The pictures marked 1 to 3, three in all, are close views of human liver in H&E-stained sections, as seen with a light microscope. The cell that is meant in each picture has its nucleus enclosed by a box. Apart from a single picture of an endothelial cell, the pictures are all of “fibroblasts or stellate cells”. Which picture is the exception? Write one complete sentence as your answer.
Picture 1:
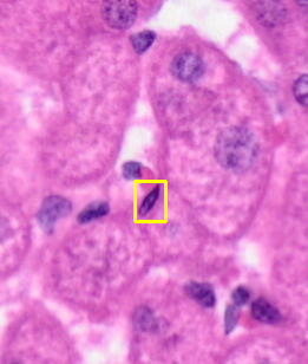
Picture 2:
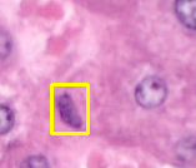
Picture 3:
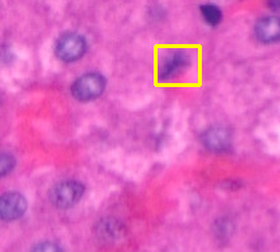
The endothelial cell is the one in picture 3.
